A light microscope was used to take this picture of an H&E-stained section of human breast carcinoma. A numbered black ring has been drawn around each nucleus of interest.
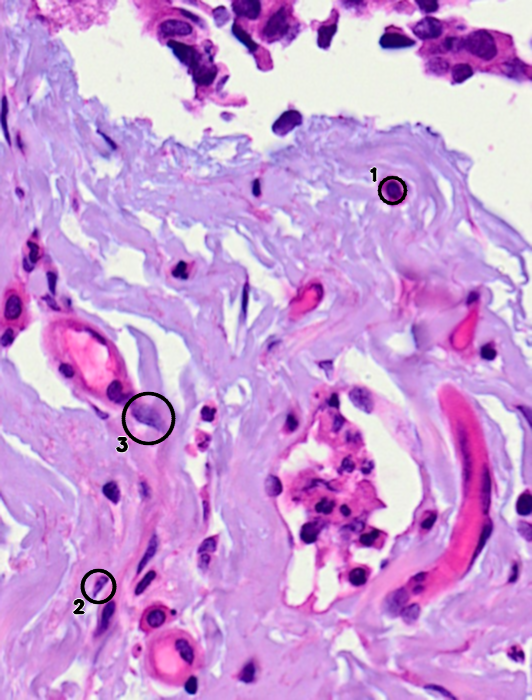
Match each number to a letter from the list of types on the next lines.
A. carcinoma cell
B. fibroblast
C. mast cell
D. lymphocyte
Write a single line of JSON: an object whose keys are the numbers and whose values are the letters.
{"1": "C", "2": "B", "3": "B"}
